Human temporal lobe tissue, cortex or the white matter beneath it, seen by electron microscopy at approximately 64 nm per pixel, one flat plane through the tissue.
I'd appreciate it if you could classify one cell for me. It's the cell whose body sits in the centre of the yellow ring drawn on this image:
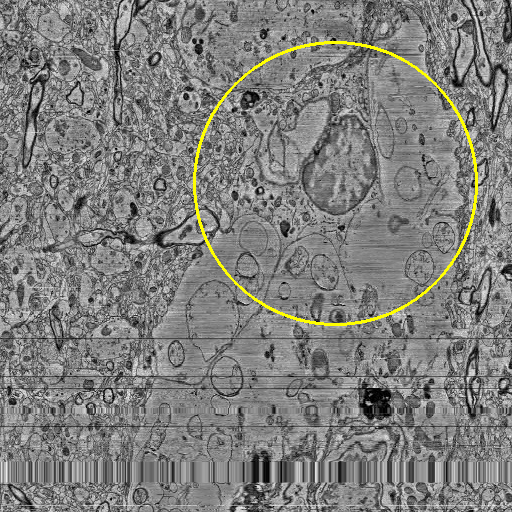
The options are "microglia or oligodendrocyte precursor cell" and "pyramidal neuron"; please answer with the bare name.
microglia or oligodendrocyte precursor cell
